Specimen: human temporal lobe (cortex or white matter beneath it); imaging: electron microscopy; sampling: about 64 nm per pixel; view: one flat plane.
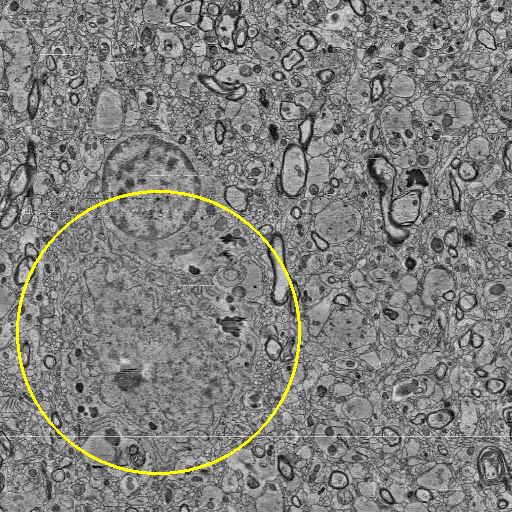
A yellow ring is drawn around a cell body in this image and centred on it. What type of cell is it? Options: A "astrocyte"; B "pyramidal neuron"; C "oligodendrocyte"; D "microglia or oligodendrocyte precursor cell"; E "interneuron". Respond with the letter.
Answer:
E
